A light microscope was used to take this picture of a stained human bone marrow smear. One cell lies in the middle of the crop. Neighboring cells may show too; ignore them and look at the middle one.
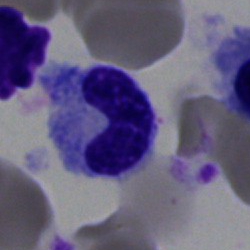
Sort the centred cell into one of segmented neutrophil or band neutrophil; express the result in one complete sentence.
The central element of this crop is a cell, namely a band neutrophil.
